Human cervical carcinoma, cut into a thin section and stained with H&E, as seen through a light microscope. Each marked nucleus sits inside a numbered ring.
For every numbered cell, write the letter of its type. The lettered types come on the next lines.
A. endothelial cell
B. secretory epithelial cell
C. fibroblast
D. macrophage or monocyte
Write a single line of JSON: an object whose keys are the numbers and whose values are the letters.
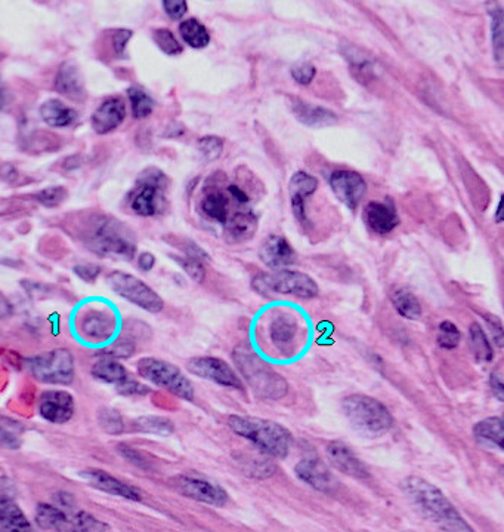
{"1": "A", "2": "C"}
